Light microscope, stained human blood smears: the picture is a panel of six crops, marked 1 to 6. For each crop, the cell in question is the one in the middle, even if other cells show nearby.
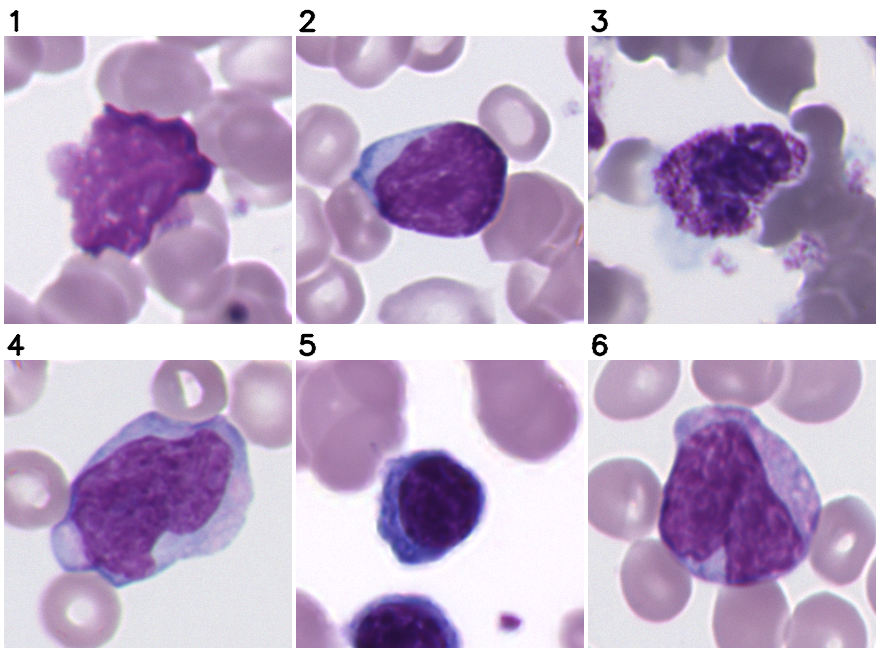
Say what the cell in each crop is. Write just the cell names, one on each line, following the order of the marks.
smudge cell
myeloblast
basophil
atypical promyelocyte
plasma cell
atypical promyelocyte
